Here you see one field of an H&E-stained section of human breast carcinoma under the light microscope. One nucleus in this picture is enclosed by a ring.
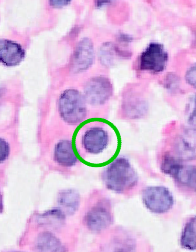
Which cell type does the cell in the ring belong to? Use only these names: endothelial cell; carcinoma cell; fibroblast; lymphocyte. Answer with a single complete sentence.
Among the cells in this section, the cell in the ring is a carcinoma cell.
